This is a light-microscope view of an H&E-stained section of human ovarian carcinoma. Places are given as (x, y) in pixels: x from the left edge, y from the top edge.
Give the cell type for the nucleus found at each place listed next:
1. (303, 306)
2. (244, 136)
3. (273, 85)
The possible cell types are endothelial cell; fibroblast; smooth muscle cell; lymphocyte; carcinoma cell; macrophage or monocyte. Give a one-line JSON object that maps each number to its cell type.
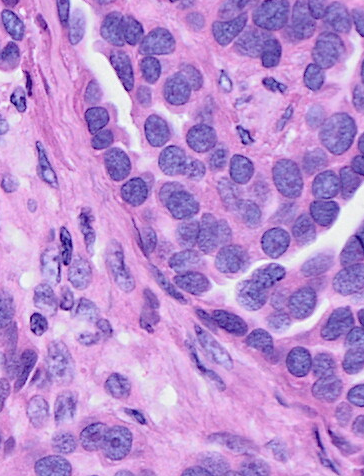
{"1": "carcinoma cell", "2": "fibroblast", "3": "fibroblast"}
